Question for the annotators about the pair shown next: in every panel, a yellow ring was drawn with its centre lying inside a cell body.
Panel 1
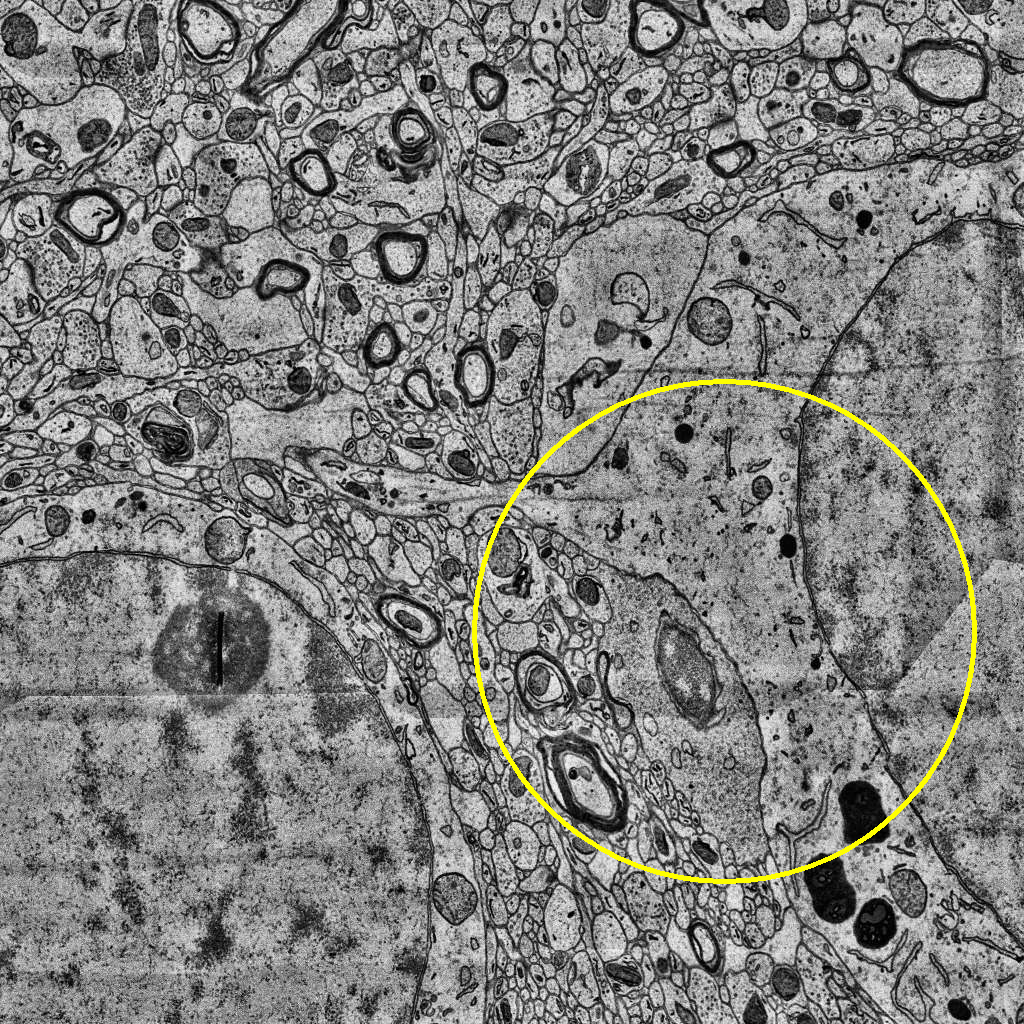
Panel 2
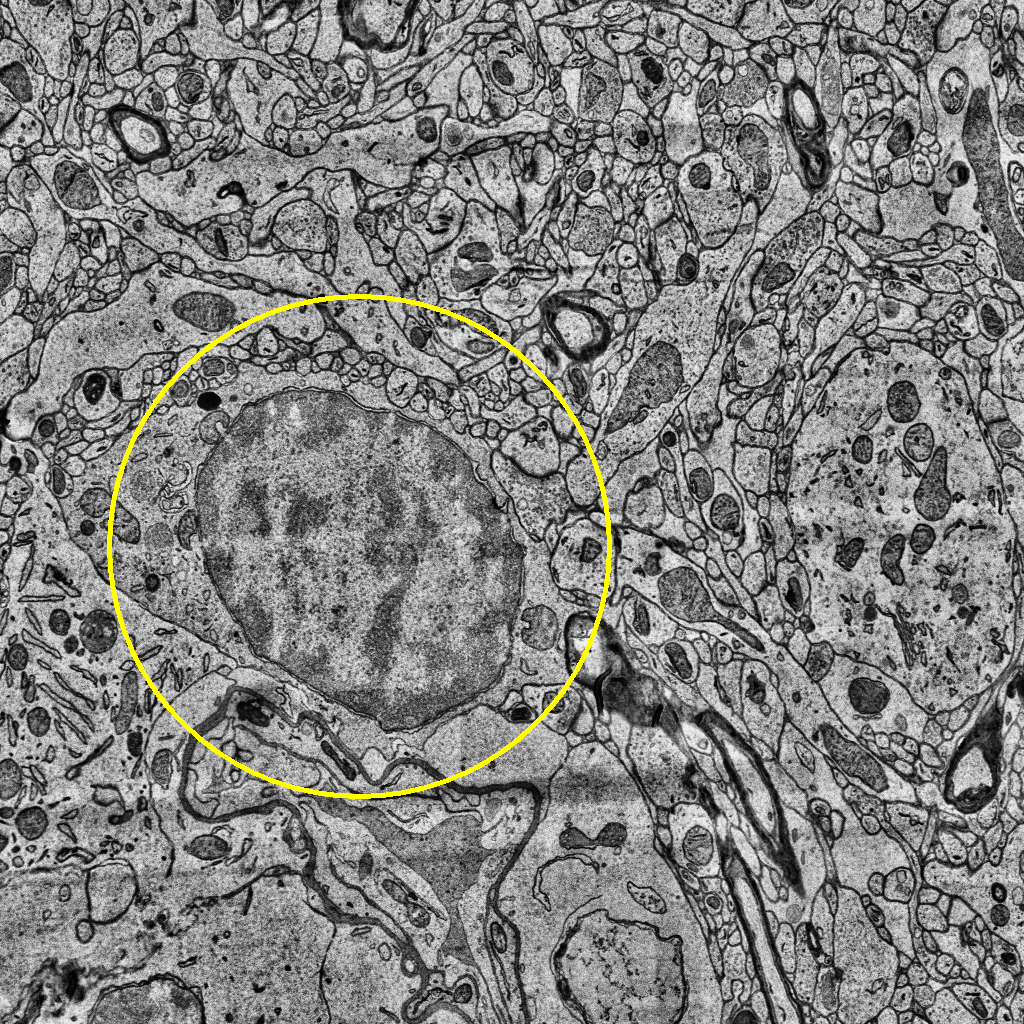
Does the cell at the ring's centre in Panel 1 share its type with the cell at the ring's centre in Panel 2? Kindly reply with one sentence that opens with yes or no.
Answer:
Yes, in Panels 1 and 2 the cells at the ring centres belong to a single type.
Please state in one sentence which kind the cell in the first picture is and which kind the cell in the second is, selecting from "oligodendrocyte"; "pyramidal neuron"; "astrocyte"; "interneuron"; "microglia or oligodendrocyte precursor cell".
Each of the two cells is an oligodendrocyte.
